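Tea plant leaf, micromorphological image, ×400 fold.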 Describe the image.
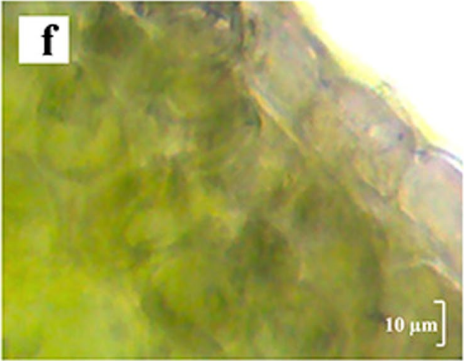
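This is the outer edge of a leaf section, with a thin layer of clear, colourless cells along the surface. Beneath it, rounded cells are densely filled with green contents. The image is somewhat out of focus.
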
